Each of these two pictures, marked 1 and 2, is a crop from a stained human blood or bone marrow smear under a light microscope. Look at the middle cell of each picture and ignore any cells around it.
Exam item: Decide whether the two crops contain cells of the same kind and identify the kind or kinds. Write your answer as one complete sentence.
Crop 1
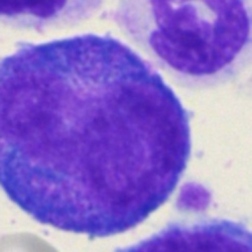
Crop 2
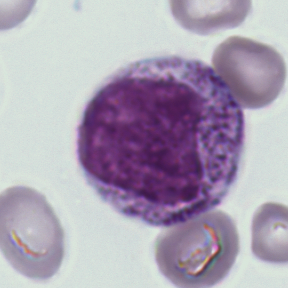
No, crop 1 captures a promyelocyte, and crop 2 captures a myelocyte.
